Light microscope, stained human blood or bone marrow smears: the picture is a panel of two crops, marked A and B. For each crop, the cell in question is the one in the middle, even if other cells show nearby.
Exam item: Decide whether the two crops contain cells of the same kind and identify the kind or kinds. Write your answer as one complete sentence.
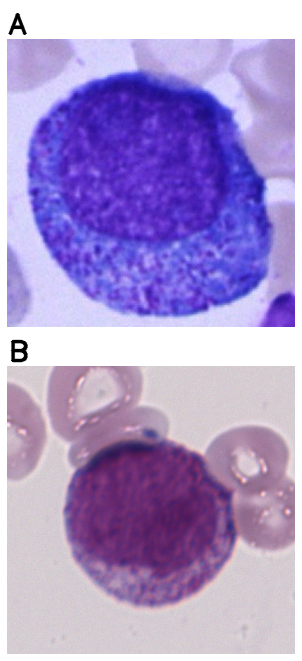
Yes, the cells in both crops are promyelocytes.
